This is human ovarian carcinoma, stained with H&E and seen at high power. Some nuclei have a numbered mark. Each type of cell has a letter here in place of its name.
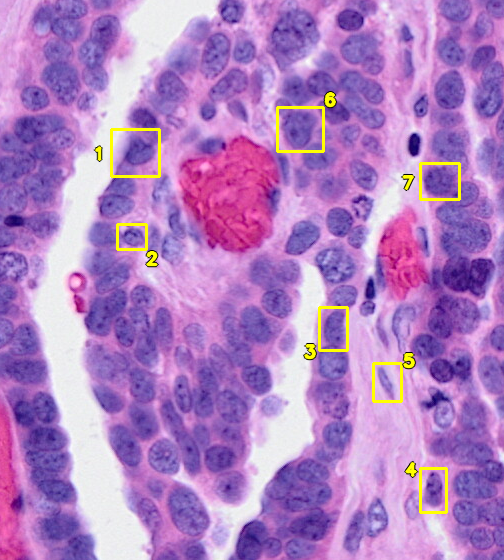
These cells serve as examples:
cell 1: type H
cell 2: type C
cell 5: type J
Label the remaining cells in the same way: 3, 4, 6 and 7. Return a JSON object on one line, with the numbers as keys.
{"3": "type H", "4": "type C", "6": "type H", "7": "type H"}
